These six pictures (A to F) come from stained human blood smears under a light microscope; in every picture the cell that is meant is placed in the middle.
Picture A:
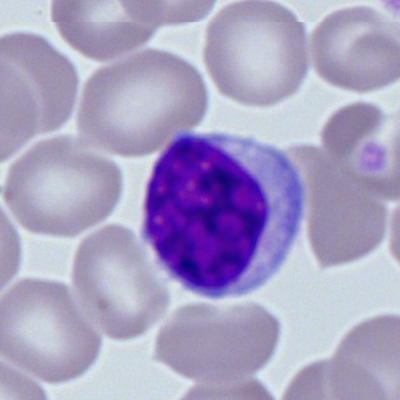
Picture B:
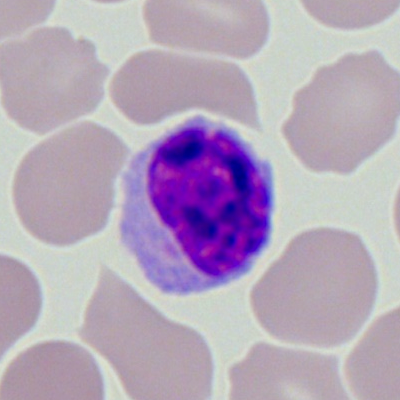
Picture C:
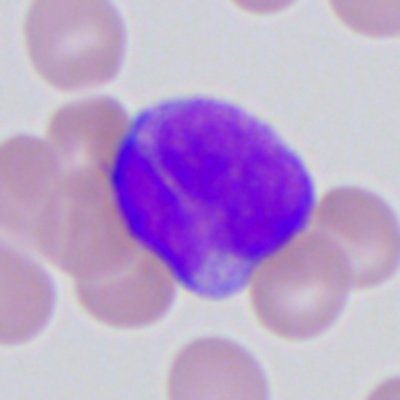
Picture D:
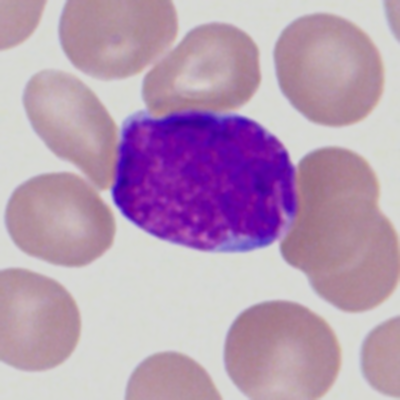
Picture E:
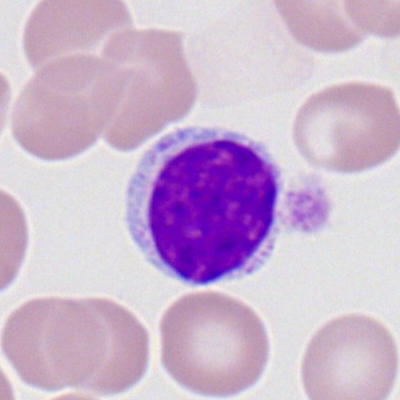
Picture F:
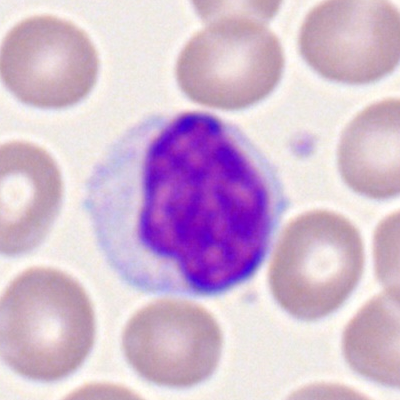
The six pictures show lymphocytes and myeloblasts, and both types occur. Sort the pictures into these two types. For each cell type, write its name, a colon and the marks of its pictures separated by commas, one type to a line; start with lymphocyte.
lymphocyte: A, B, E, F
myeloblast: C, D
